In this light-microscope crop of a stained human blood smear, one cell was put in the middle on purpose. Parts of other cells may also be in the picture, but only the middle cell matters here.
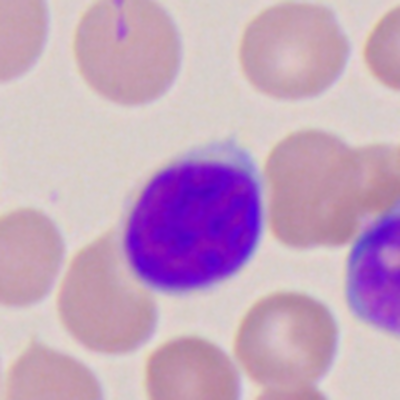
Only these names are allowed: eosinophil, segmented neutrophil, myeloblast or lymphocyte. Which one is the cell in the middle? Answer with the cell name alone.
lymphocyte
